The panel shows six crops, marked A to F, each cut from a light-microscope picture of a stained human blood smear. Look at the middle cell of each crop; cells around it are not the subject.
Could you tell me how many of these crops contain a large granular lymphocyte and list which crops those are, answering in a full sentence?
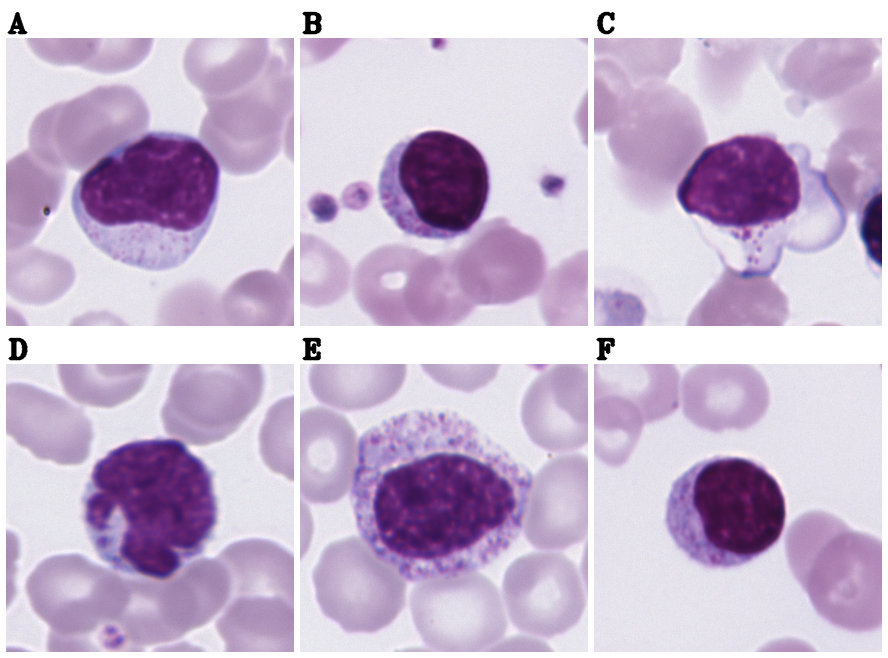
Of the crops, those showing large granular lymphocytes are A, B, C and F, four altogether.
